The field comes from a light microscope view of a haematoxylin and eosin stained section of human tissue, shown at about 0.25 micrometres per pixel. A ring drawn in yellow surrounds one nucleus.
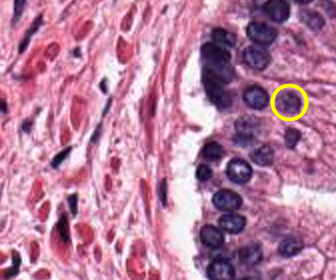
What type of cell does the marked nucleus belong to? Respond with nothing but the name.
prostate gland luminal cell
